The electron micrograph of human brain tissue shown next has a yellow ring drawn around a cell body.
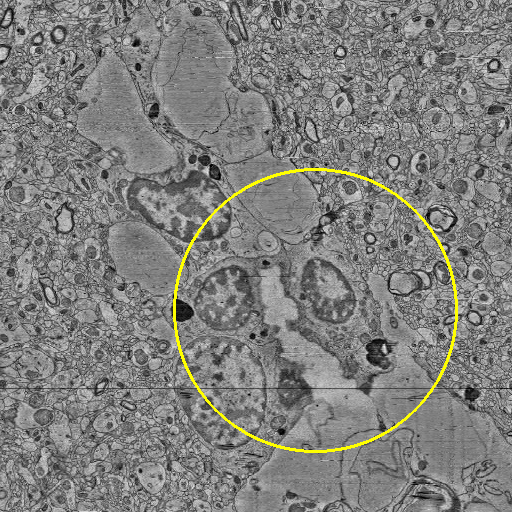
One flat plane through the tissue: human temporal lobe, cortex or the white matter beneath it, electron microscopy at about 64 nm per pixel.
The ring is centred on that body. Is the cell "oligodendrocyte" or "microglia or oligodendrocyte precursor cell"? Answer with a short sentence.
The cell in question is an oligodendrocyte.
